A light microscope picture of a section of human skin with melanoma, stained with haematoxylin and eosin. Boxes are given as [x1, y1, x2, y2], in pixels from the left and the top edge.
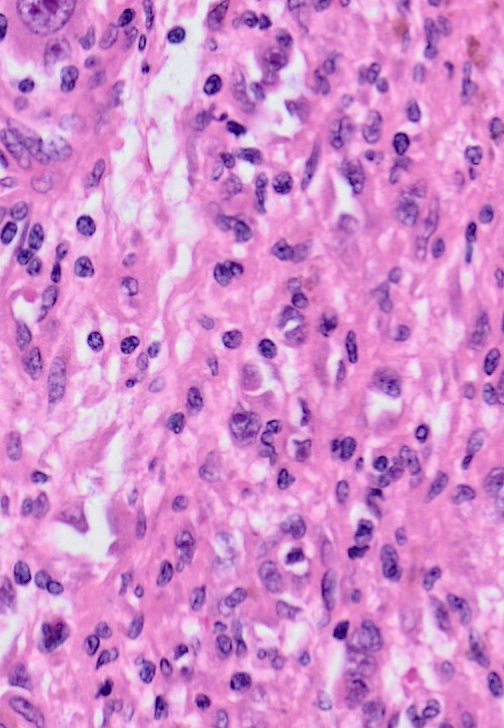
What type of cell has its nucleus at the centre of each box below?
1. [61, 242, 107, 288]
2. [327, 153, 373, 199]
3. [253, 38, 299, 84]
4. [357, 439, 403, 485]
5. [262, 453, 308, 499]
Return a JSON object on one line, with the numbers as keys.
{"1": "lymphocyte", "2": "melanoma cell", "3": "melanoma cell", "4": "lymphocyte", "5": "macrophage or monocyte"}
